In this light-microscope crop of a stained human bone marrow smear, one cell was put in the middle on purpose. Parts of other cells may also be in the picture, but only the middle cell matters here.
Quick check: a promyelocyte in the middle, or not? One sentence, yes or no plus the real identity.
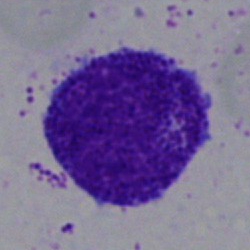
Yes, the middle of the crop is occupied by a promyelocyte.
